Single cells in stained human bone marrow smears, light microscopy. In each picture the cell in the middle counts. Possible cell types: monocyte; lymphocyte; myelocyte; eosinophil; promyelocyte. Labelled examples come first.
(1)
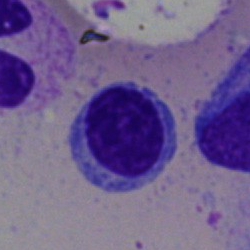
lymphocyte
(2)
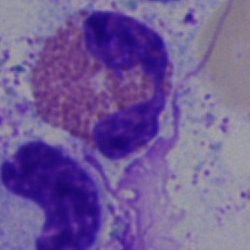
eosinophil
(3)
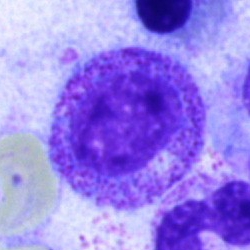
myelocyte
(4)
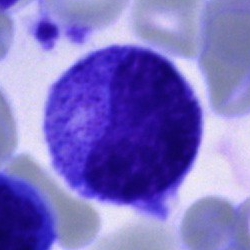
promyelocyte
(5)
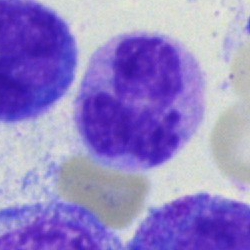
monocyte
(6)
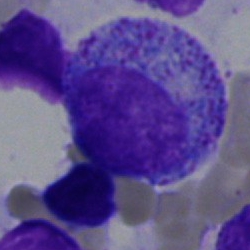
promyelocyte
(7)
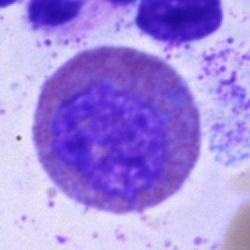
eosinophil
